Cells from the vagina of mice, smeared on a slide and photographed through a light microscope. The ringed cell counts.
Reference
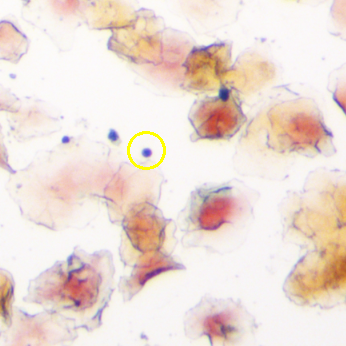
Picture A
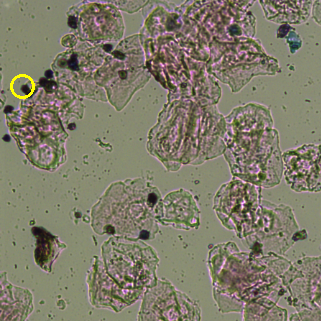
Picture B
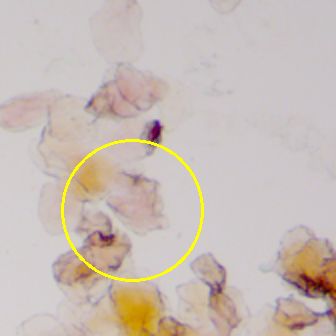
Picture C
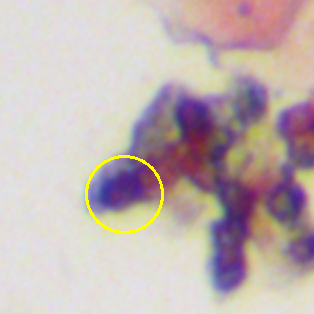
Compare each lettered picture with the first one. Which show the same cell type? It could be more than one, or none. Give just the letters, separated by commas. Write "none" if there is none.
A, C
